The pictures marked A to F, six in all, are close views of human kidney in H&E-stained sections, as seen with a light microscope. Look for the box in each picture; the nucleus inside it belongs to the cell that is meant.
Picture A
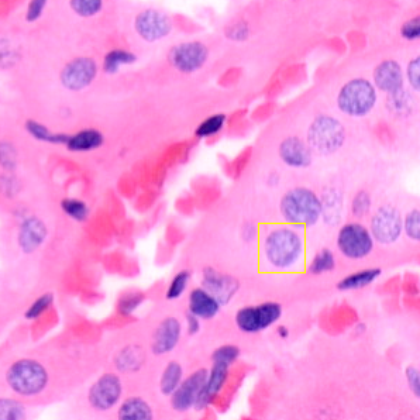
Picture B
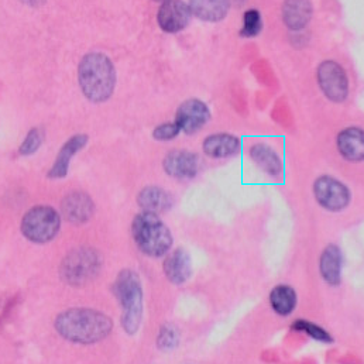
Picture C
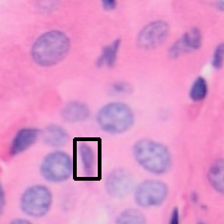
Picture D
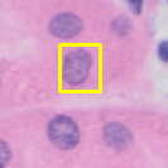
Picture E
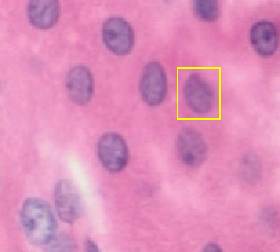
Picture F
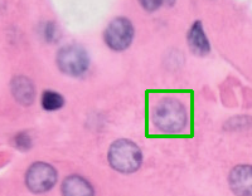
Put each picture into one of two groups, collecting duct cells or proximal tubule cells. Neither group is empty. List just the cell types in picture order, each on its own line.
collecting duct cell
collecting duct cell
collecting duct cell
proximal tubule cell
proximal tubule cell
proximal tubule cell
